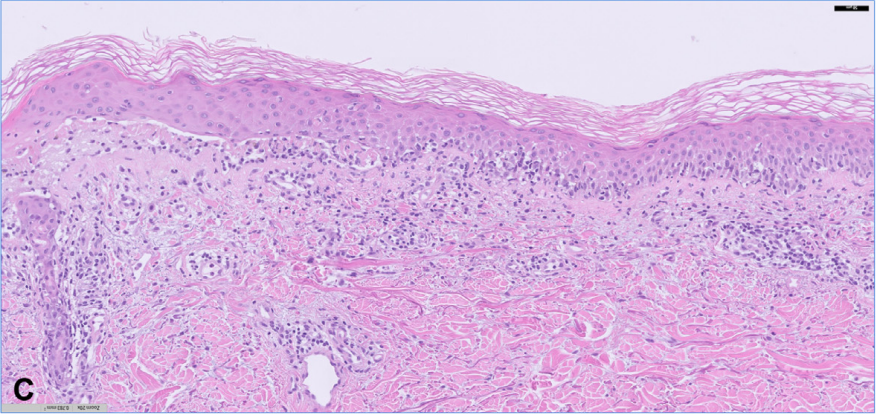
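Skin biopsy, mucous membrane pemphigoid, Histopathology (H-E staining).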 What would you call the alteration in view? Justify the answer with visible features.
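Interface dermatitis. Many small dark-nucleated inflammatory cells crowd along the junction between epidermis and dermis. The inflammatory infiltrate blurs the lower border of the epidermis. Scattered inflammatory cells also lie in the upper dermis around vessels.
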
